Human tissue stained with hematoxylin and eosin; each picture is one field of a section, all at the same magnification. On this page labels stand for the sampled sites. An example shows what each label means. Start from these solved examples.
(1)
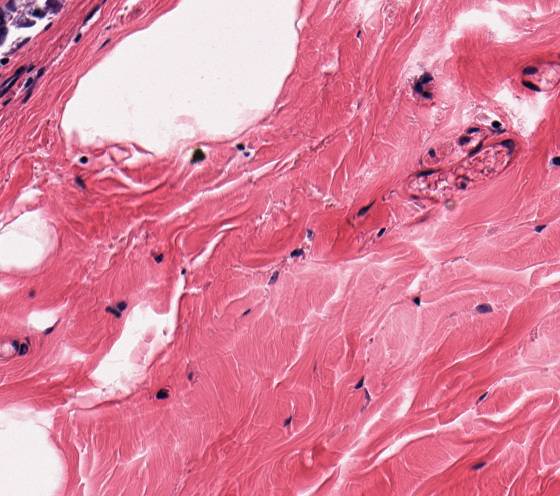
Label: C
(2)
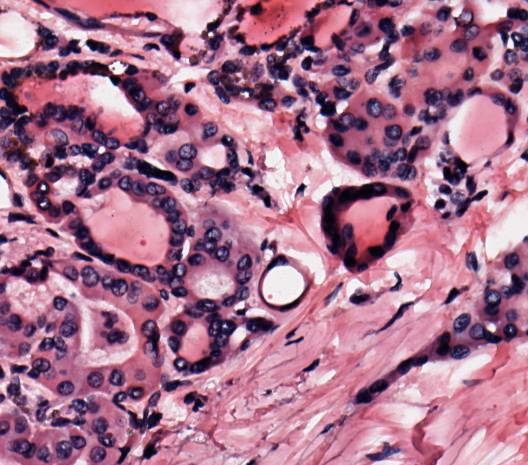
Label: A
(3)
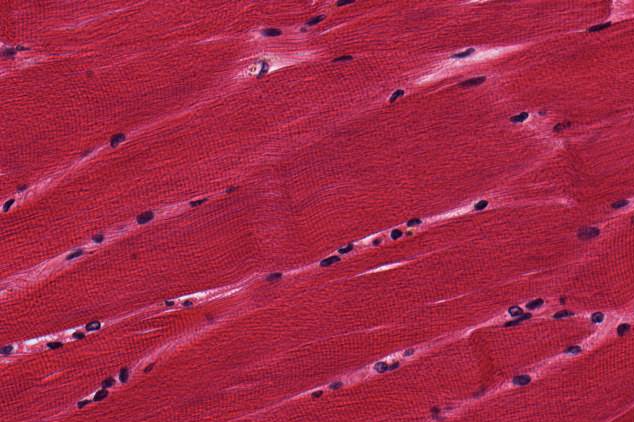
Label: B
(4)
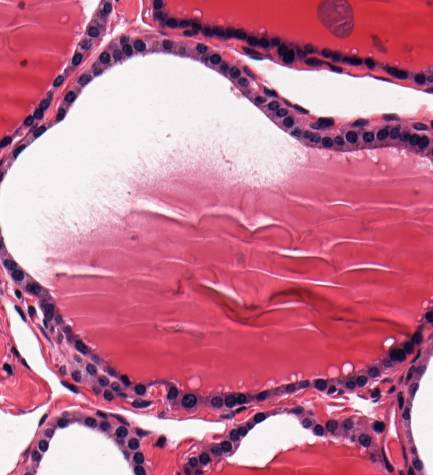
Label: A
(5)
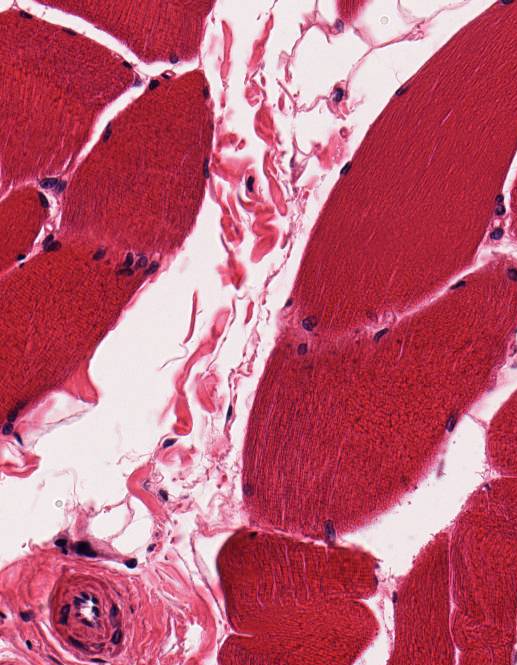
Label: B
